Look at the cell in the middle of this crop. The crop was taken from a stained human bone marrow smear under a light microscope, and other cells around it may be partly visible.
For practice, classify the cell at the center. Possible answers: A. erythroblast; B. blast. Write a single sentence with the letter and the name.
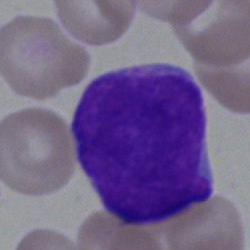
Seen at the centre of the crop is a blast, so option B is correct.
